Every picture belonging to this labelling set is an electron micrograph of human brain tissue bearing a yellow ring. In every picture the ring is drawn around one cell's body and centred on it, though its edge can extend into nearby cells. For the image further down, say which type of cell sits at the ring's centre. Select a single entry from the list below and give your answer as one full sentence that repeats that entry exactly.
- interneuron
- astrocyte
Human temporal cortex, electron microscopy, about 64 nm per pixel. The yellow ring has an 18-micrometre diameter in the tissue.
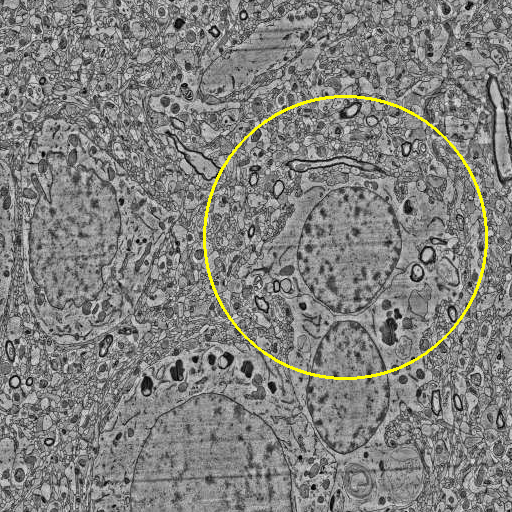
In the picture, an astrocyte is the cell at the centre of the yellow ring.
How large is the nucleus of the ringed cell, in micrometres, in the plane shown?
The nucleus is approximately 8 micrometers long by 7 micrometers wide in this plane.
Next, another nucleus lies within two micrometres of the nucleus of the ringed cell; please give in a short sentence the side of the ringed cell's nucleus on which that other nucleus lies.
That nucleus lies below it.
